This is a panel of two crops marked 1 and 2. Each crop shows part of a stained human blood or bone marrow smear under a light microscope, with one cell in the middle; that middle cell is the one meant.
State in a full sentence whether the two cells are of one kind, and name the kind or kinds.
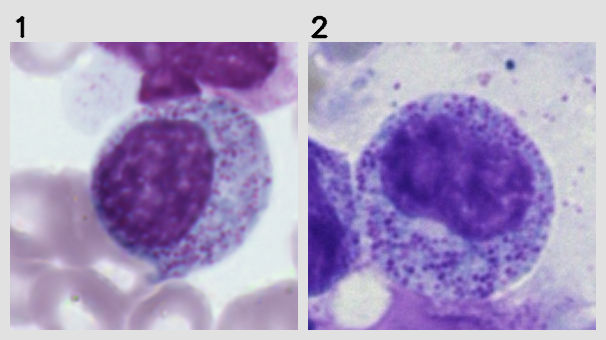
Yes, the cells centred in the two crops are both promyelocytes.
